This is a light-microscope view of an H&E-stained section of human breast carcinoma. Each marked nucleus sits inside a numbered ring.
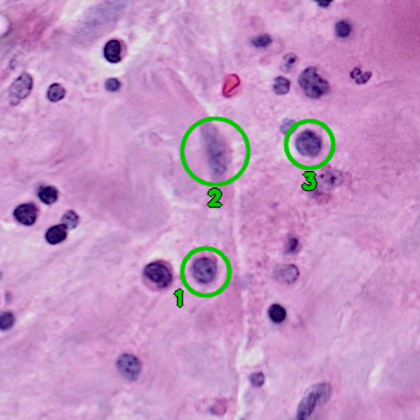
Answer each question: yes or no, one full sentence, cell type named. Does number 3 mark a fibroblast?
No, it is a lymphocyte that is marked with number 3, not a fibroblast.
